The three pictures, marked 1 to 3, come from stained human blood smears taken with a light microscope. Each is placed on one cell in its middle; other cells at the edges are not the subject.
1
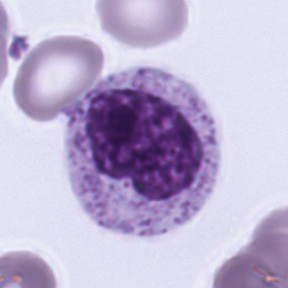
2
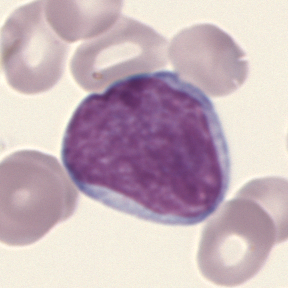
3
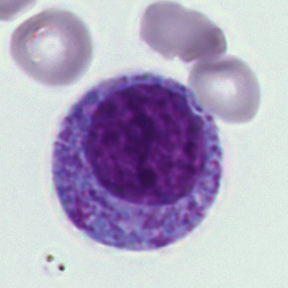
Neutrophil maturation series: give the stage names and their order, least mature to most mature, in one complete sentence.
The sequence of maturity, beginning with the least mature, runs crop 2 (a myeloblast), crop 3 (a promyelocyte) and crop 1 (a metamyelocyte).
